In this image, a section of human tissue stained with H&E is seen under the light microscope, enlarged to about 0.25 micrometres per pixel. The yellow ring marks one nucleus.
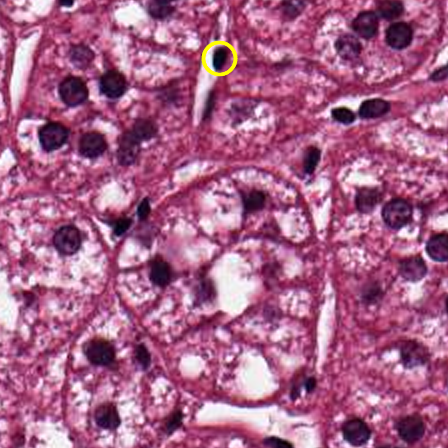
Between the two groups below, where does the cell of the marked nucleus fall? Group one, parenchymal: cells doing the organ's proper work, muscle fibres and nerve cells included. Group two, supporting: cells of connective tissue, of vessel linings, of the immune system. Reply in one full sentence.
Housed within a supporting cell is the marked nucleus.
